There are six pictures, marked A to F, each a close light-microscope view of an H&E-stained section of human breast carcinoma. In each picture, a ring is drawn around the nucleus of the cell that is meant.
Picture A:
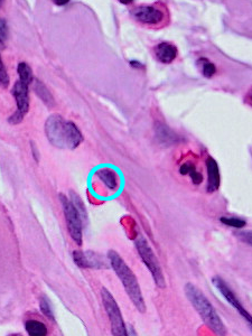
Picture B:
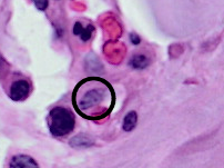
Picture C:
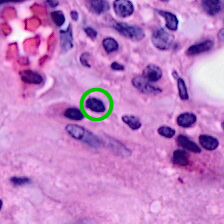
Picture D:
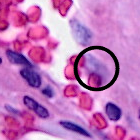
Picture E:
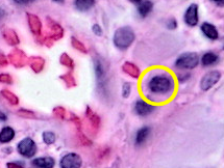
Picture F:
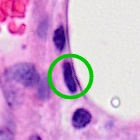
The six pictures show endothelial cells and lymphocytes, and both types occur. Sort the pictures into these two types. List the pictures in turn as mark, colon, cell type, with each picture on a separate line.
A: endothelial cell
B: endothelial cell
C: lymphocyte
D: endothelial cell
E: lymphocyte
F: lymphocyte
